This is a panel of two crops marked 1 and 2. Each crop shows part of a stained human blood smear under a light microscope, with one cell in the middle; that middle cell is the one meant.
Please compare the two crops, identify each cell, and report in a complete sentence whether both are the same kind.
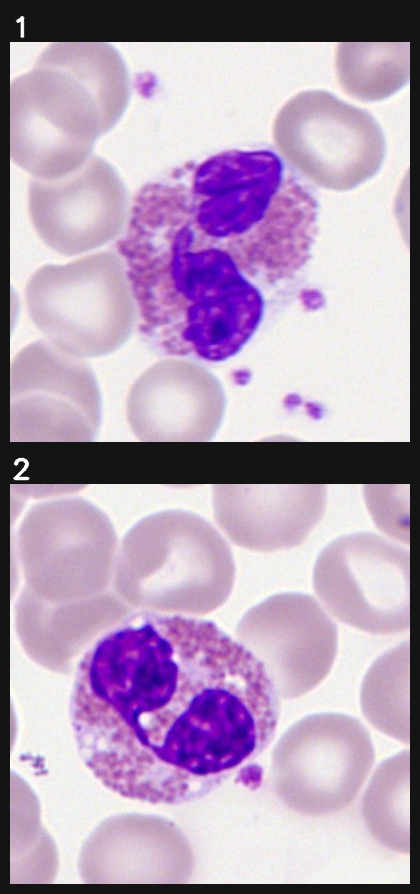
Yes, eosinophils are present at the centre of both crops.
